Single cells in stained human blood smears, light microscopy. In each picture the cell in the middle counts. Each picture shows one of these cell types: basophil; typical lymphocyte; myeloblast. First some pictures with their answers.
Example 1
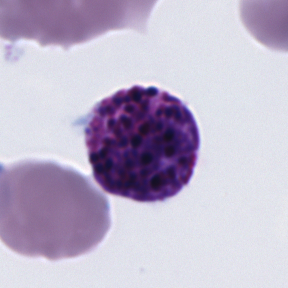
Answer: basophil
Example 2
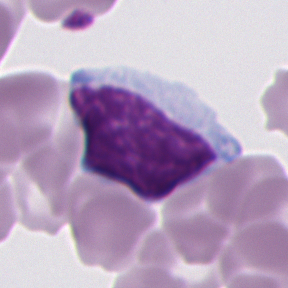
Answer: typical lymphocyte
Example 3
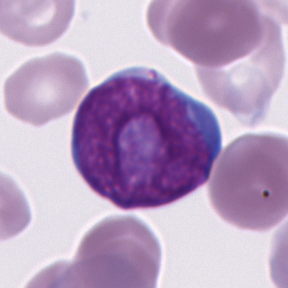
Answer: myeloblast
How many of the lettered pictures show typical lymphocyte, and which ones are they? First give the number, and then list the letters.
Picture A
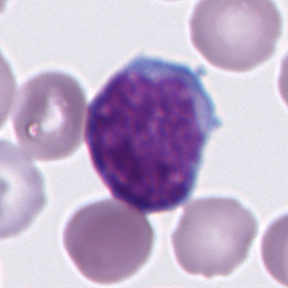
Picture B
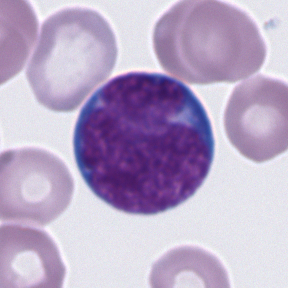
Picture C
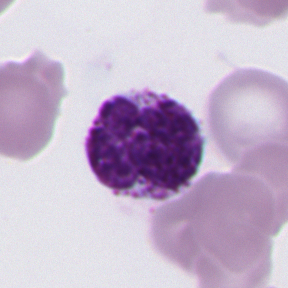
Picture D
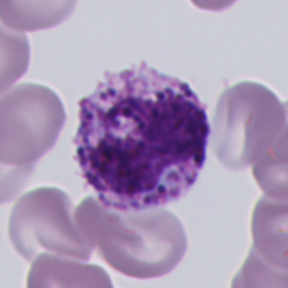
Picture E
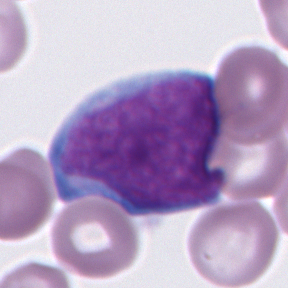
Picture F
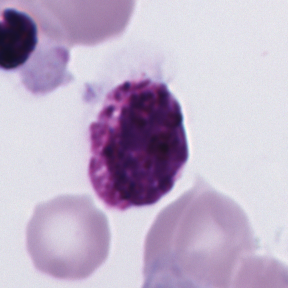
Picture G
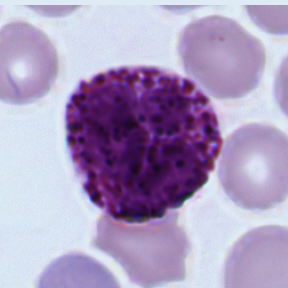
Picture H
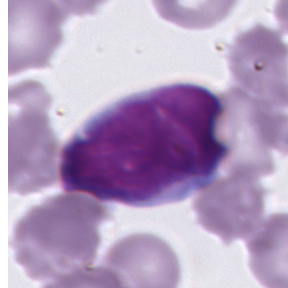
0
